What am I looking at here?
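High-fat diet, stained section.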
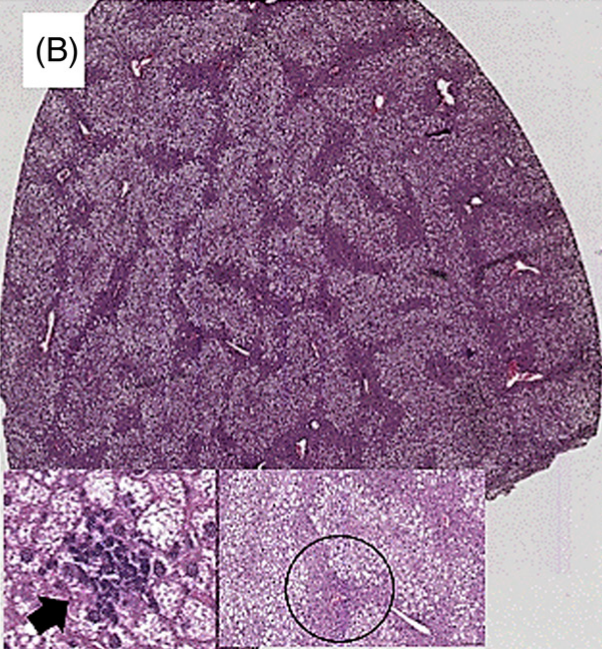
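This is a low-magnification section of liver in which most of the parenchyma appears pale and finely vacuolated, typical of severe steatosis. Darker, denser strands of non-vacuolated hepatocytes run between the pale zones, some lying next to small vessels. The enlarged insets show hepatocytes whose cytoplasm looks clear and empty, with a circled darker patch of preserved liver cells near a vessel. Another inset shows, at an arrow, a small cluster of dark purple nuclei among the pale cells, a focus of inflammation within the lobule.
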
